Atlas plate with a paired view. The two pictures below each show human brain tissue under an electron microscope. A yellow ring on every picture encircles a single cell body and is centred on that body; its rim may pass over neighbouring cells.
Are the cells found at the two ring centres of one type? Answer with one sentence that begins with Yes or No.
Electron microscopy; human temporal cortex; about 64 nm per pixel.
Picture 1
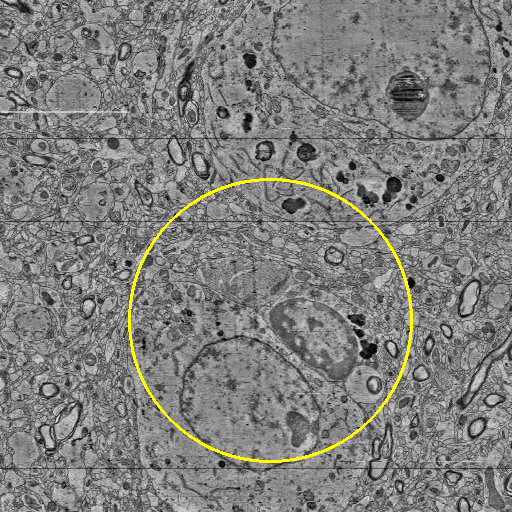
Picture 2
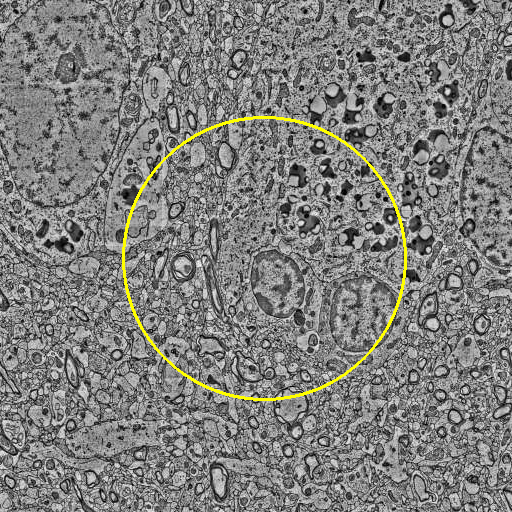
Yes, the two cells lying at the centres of the rings share a single type.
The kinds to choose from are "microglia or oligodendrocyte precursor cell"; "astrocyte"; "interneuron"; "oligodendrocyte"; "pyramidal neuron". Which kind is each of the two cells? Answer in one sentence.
Each one of the two ringed cells is a microglial cell or oligodendrocyte precursor cell.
